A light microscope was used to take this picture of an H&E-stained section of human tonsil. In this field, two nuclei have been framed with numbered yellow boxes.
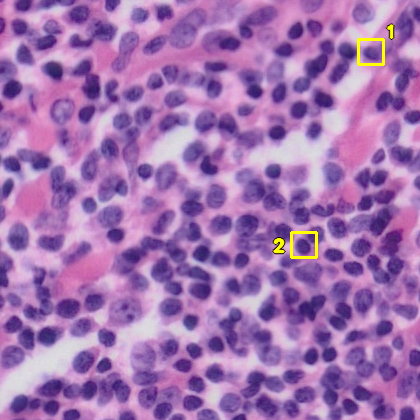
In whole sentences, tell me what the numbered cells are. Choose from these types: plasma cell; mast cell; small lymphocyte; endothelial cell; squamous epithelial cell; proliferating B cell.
Cell 1 is an endothelial cell. Cell 2 is a small lymphocyte.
